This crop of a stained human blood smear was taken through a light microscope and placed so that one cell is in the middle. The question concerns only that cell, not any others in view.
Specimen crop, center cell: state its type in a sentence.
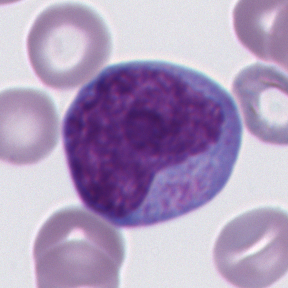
In short, the cell at the center is a promyelocyte.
